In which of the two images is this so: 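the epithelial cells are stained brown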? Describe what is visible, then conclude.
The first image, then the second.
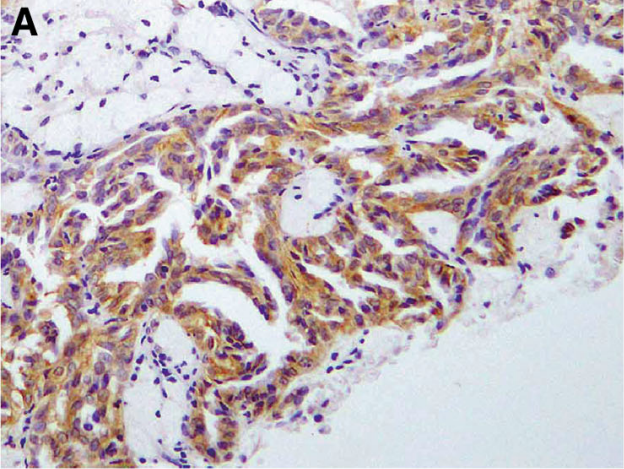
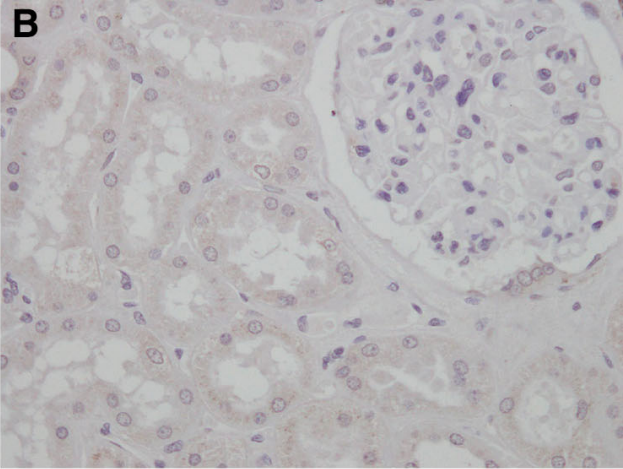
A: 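The first image. Second image: tubular epithelium and the glomerulus show only faint background tint. First image: the crowded epithelial cells of the papillary structures are strongly brown.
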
